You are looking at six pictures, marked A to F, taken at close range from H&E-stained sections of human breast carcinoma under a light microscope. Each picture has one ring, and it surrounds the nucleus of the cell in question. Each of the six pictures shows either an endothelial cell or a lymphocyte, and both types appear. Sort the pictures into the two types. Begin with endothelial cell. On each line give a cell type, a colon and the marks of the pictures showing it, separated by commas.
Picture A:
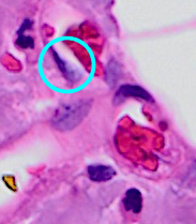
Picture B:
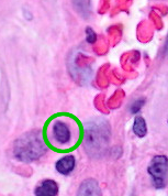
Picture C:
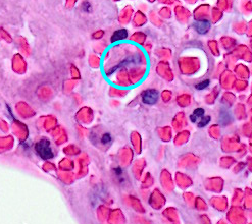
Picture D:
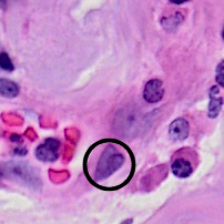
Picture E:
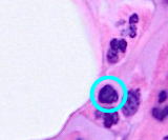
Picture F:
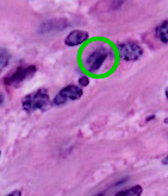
endothelial cell: A, C, D
lymphocyte: B, E, F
